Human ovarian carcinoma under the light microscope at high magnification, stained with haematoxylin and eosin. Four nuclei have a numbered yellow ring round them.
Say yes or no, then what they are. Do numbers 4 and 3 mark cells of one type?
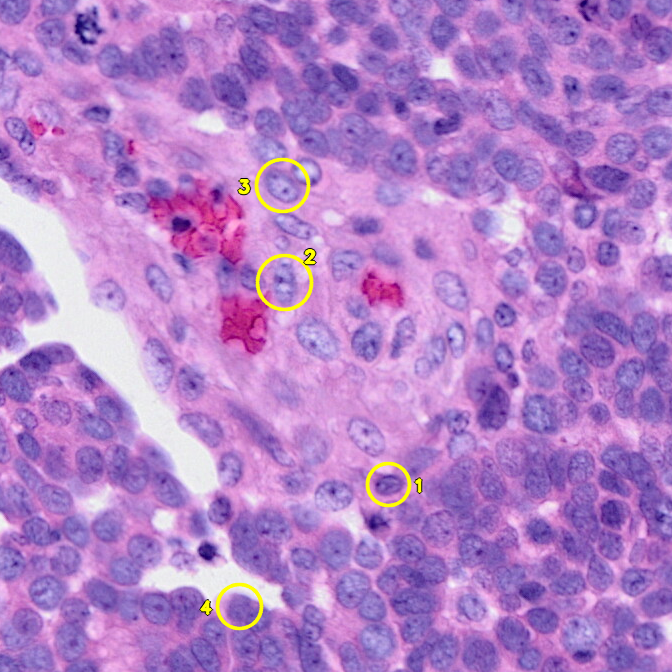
No, cell 4 is a carcinoma cell and cell 3 is a fibroblast.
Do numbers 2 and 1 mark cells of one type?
No, cell 2 is a fibroblast and cell 1 is a macrophage or monocyte.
